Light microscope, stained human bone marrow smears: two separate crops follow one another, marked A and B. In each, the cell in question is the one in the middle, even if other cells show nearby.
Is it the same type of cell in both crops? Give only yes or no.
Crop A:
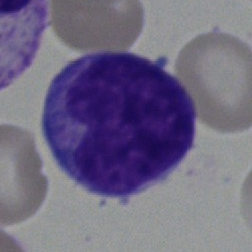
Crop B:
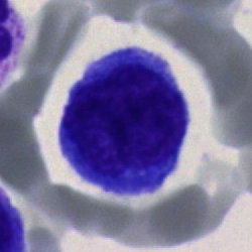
yes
